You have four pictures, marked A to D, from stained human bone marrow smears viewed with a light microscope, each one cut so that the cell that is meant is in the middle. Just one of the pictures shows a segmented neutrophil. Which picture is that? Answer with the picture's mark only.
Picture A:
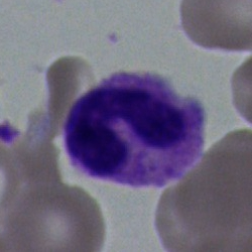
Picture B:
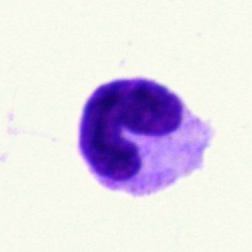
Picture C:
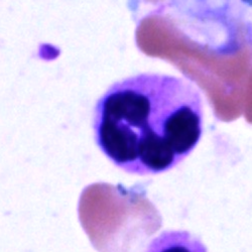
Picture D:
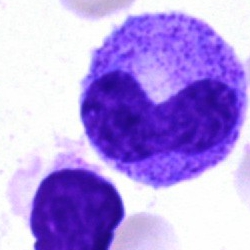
C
